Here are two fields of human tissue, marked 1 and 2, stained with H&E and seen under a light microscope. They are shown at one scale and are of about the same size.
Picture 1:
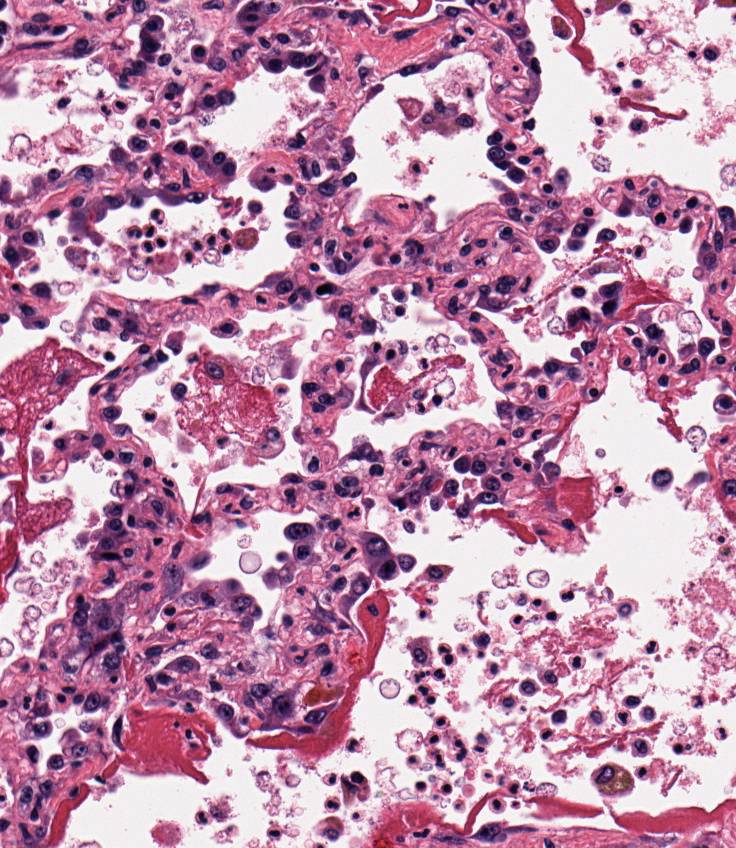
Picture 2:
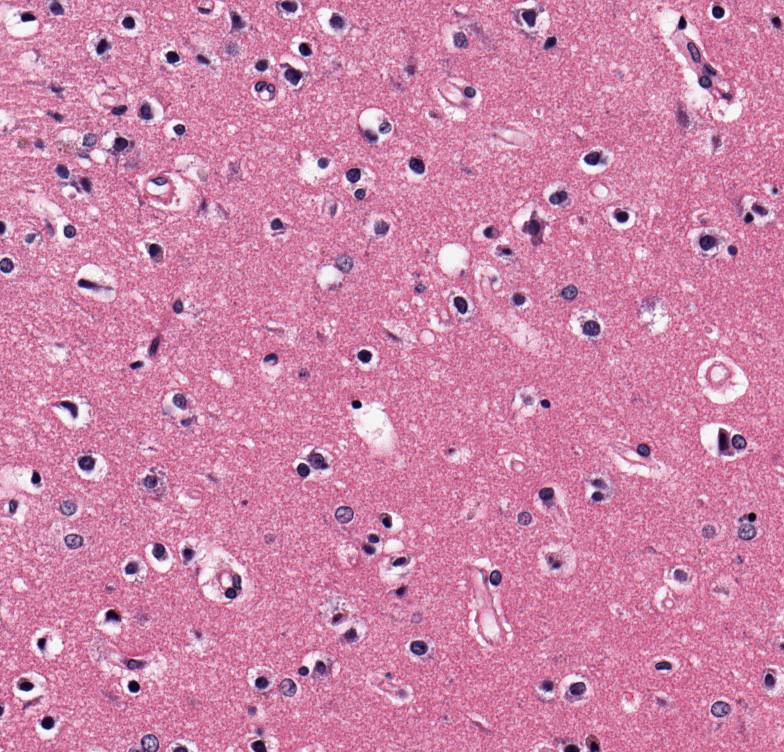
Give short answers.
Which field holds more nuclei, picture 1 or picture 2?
1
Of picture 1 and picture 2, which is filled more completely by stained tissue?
2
